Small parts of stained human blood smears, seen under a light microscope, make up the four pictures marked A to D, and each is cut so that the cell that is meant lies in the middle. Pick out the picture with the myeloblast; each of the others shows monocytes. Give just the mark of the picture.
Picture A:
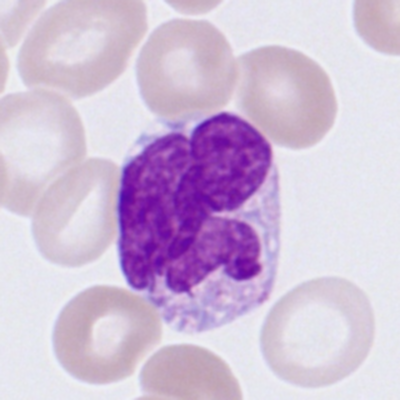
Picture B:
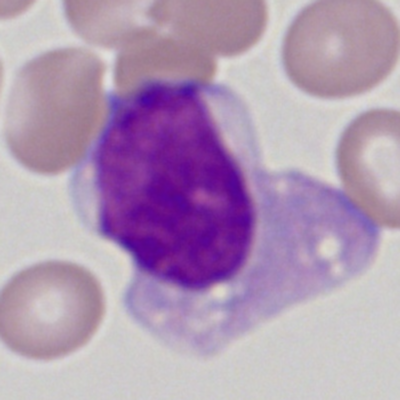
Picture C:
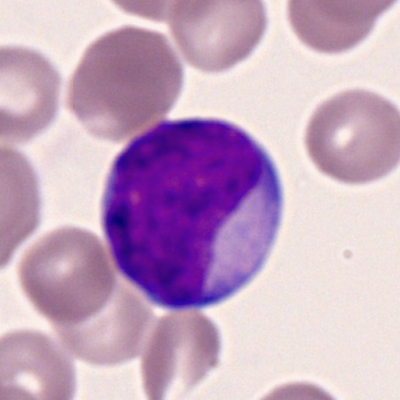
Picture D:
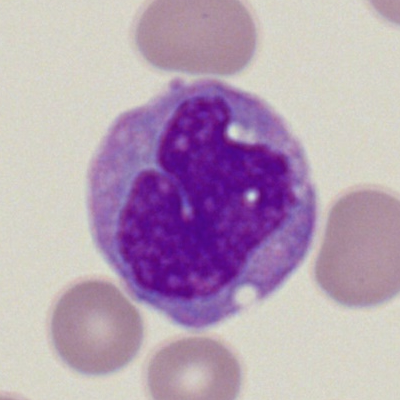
C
